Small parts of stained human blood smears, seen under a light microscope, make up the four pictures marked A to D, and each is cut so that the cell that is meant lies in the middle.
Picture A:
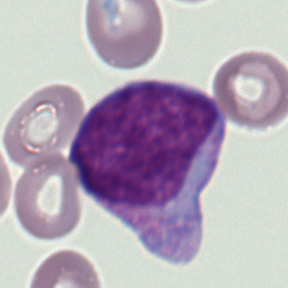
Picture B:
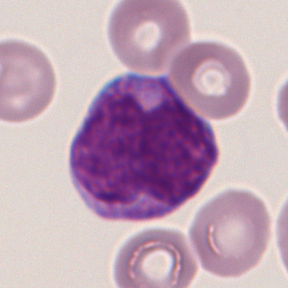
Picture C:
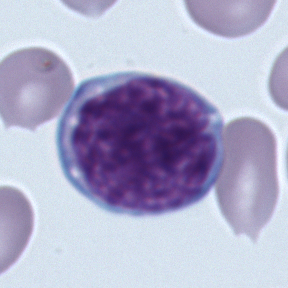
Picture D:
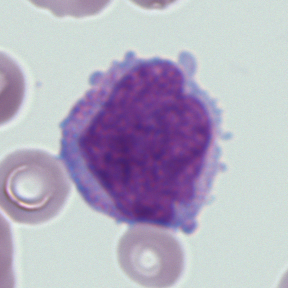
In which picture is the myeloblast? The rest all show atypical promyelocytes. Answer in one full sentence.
Picture C is the one that shows the myeloblast.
